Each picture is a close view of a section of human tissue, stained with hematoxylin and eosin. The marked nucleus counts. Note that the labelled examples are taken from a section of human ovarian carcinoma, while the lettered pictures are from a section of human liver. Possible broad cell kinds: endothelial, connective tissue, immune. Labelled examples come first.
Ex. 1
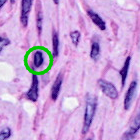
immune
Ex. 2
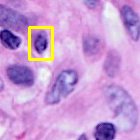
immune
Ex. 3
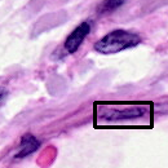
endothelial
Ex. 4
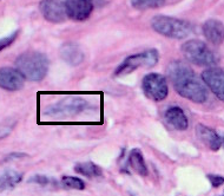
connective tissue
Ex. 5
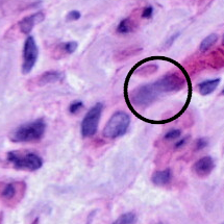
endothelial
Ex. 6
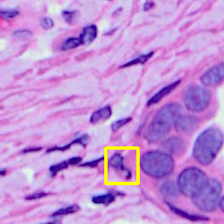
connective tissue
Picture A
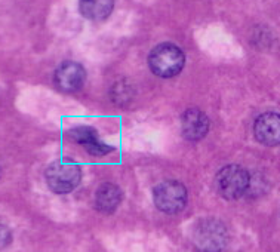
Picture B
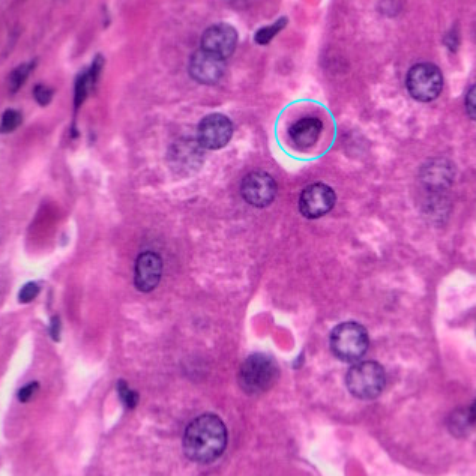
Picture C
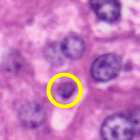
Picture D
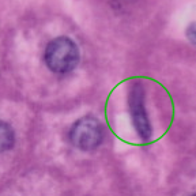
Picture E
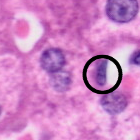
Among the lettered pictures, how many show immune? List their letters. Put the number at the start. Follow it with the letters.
Count: 3 (B, C, D)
